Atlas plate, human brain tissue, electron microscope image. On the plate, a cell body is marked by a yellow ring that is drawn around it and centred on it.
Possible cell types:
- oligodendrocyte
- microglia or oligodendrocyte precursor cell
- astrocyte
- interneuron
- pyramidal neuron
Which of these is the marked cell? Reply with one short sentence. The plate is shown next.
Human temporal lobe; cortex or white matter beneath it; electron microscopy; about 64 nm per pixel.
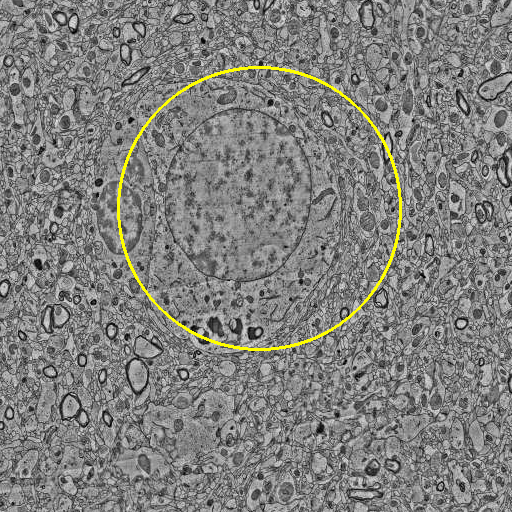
The marked cell is a pyramidal neuron.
